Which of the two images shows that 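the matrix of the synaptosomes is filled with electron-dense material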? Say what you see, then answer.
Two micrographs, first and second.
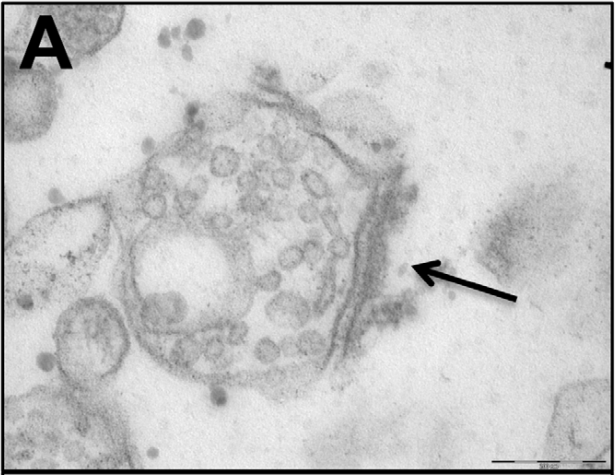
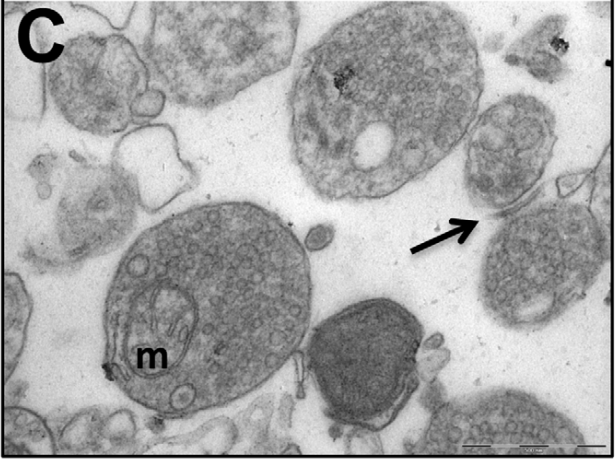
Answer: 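First image: the synaptosome interior between the vesicles is pale and lucent. Second image: the synaptosome profiles are uniformly grey and dense between the vesicles.
Conclusion: the second image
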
